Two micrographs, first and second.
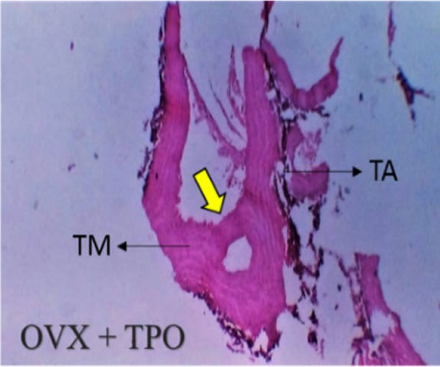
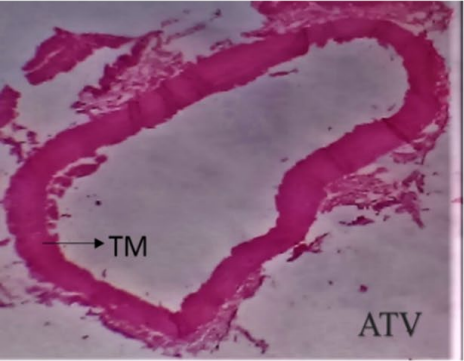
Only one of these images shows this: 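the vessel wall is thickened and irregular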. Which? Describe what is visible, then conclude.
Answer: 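The first image. Second image: the wall is an even band of fairly uniform thickness around a wide lumen. First image: the wall is a thick, irregular mass of pink tissue with a channel opening inside it.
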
